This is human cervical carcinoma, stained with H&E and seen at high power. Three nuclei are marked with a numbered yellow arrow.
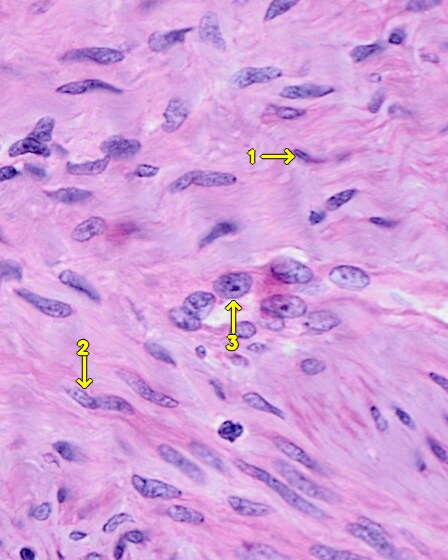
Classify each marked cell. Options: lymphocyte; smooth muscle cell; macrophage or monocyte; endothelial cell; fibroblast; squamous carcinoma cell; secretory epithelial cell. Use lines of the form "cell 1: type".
cell 1: smooth muscle cell
cell 2: smooth muscle cell
cell 3: endothelial cell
